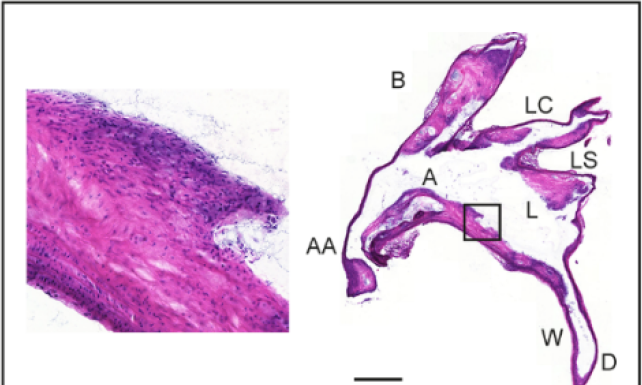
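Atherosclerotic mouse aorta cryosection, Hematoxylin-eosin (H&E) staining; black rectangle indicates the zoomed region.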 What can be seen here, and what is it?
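A section of the aortic arch and its branch arteries is stained pink and purple, with the wall thickened in places along the arch. The enlarged view shows a thickened layer crowded with purple nuclei lying over pink wall tissue with elongated nuclei, and a loose pale fringe at the luminal surface.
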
